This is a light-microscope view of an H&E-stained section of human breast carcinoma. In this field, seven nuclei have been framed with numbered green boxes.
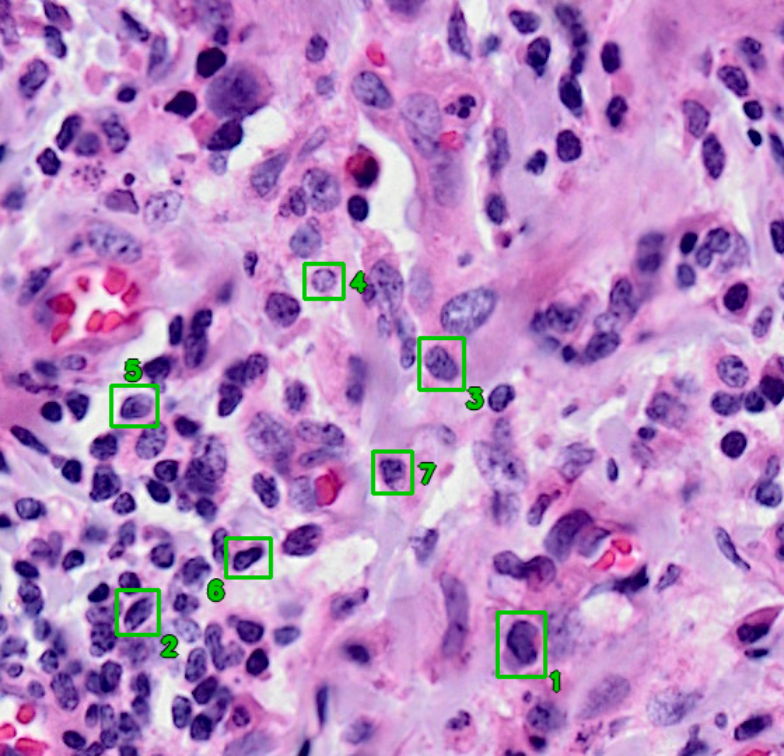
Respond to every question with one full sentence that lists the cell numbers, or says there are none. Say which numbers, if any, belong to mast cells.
Regarding the numbered cells 3 and 7, these are mast cells.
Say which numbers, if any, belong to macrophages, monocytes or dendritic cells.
Just one numbered cell is a macrophage, monocyte or dendritic cell, and that cell is number 4.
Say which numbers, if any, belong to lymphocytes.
On this slide, the cells numbered 2, 5 and 6 are lymphocytes.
